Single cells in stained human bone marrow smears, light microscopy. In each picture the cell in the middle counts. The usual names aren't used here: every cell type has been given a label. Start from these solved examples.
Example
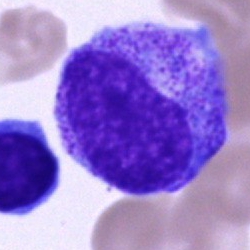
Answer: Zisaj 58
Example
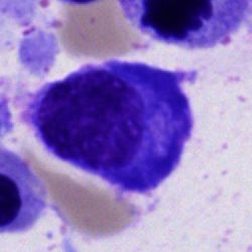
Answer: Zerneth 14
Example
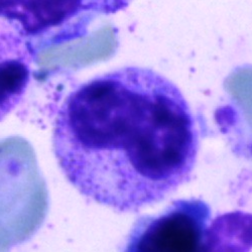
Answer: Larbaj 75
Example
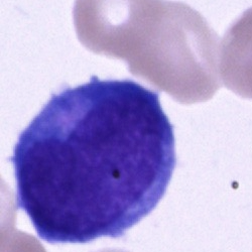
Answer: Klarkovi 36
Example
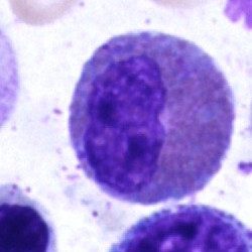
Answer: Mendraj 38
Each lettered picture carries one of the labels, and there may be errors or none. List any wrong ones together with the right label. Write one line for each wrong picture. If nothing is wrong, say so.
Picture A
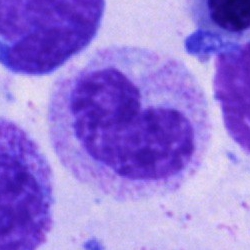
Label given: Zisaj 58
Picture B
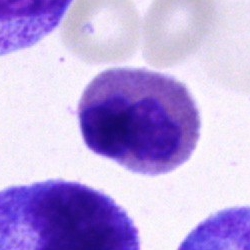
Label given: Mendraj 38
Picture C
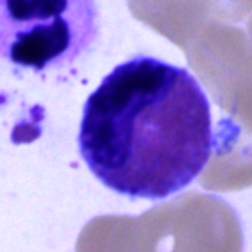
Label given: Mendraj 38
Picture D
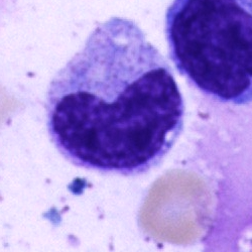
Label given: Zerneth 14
Wrong: A (Zisaj 58); correct: Larbaj 75
Wrong: D (Zerneth 14); correct: Larbaj 75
